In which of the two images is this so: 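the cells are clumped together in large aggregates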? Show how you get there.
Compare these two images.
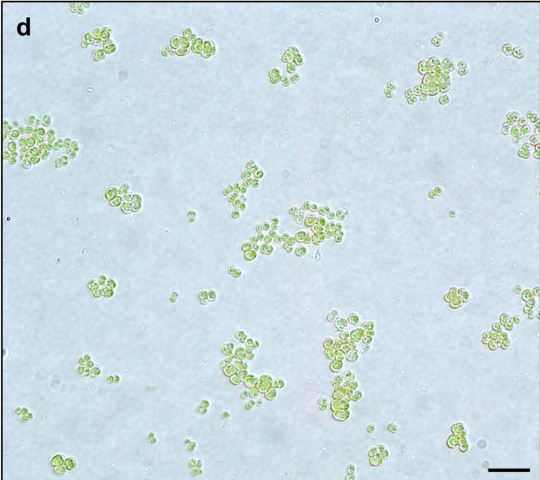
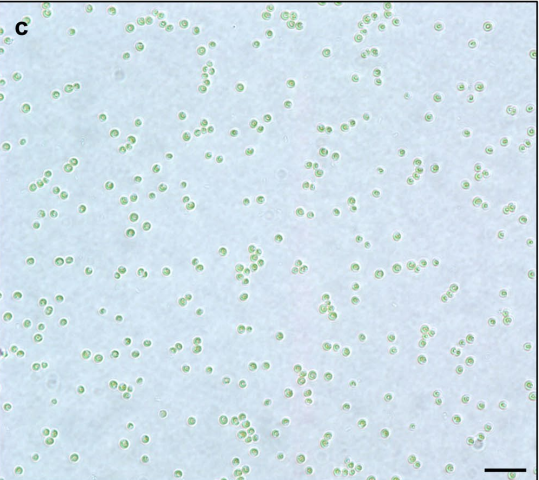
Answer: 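Second image: small round green cells lie evenly spread, mostly singly or in twos and threes. First image: the cells are gathered into dense clusters of many cells with empty space between them.
Hence: the first image.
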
